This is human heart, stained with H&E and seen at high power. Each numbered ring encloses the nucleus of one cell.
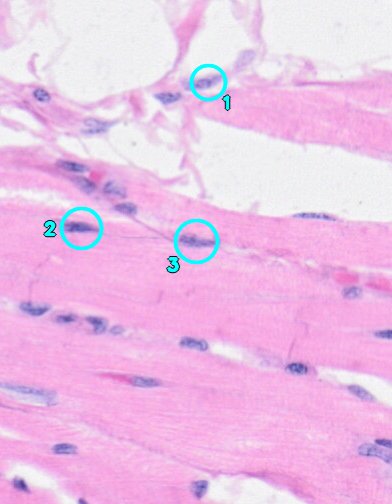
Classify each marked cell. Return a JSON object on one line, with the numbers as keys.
{"1": "fibroblast", "2": "endothelial cell", "3": "fibroblast"}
